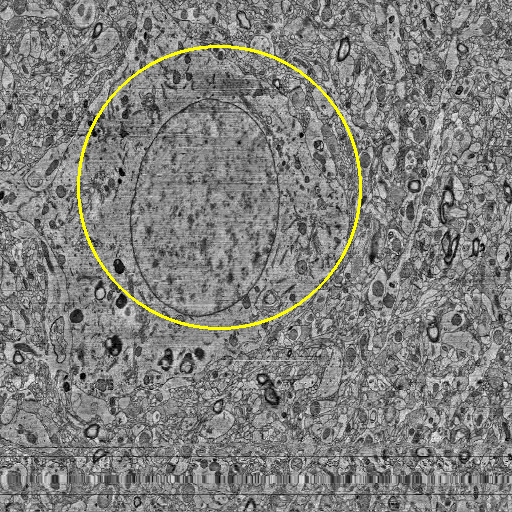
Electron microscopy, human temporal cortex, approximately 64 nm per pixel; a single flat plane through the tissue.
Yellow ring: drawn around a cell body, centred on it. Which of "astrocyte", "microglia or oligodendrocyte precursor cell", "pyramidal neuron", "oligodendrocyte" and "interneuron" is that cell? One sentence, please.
That cell body is from a pyramidal neuron.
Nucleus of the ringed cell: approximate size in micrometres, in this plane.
About 14 by 10 micrometers, in this plane.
